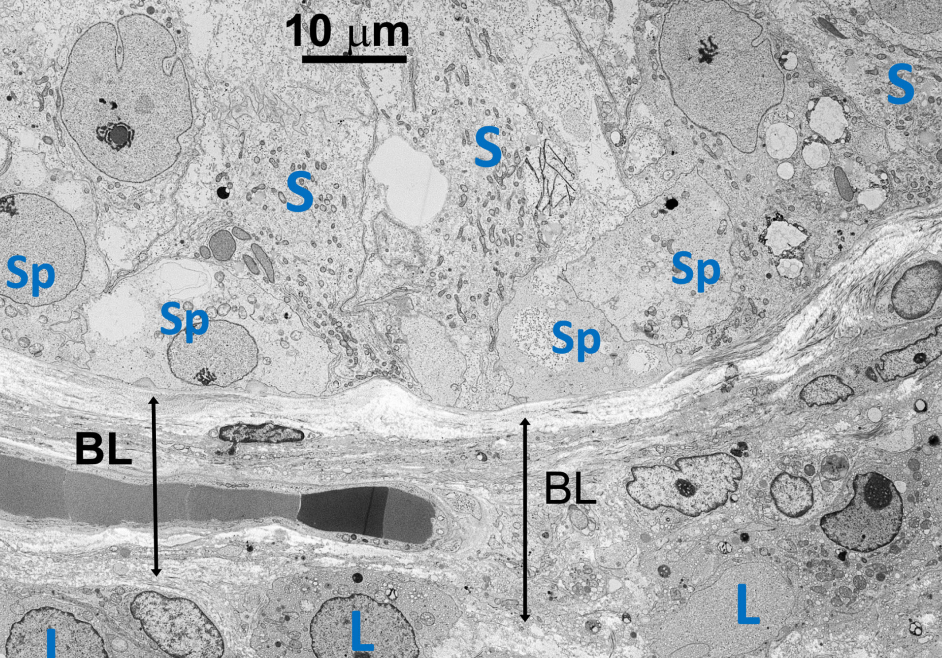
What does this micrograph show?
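This electron micrograph shows the base of a seminiferous tubule at the top, with spermatogonia and Sertoli cells resting on a thick basal layer. The spermatogonia are rounded cells with round nuclei and fairly pale cytoplasm, while the Sertoli cells have larger, irregular nuclei with prominent nucleoli and cytoplasm rich in elongated organelles. Below the tubule runs a broad band of layered fibrous material forming the basal layer, within which lies a long dark-filled vessel profile and a flattened cell with an elongated nucleus. Beneath this band lies the interstitial stroma with clustered Leydig cells, which have round to oval nuclei, often with a dark nucleolus, and cytoplasm dotted with many small dark granules.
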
